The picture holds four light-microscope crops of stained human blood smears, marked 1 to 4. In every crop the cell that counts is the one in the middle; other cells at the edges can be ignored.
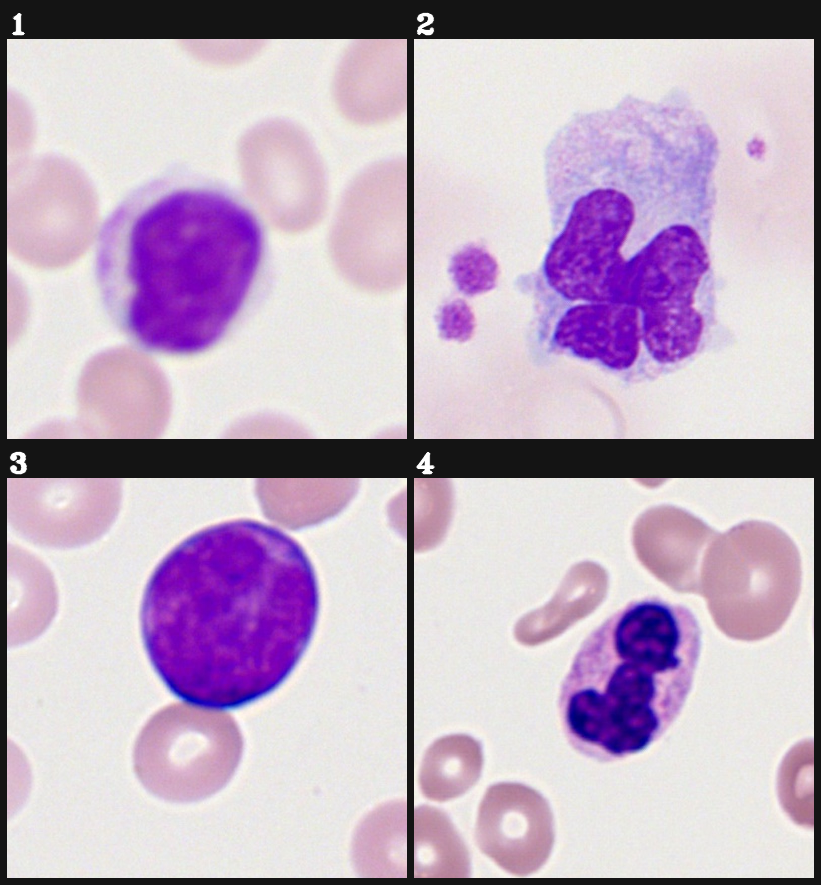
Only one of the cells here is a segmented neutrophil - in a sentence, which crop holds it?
Crop 4 alone, of all the crops, shows a segmented neutrophil.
